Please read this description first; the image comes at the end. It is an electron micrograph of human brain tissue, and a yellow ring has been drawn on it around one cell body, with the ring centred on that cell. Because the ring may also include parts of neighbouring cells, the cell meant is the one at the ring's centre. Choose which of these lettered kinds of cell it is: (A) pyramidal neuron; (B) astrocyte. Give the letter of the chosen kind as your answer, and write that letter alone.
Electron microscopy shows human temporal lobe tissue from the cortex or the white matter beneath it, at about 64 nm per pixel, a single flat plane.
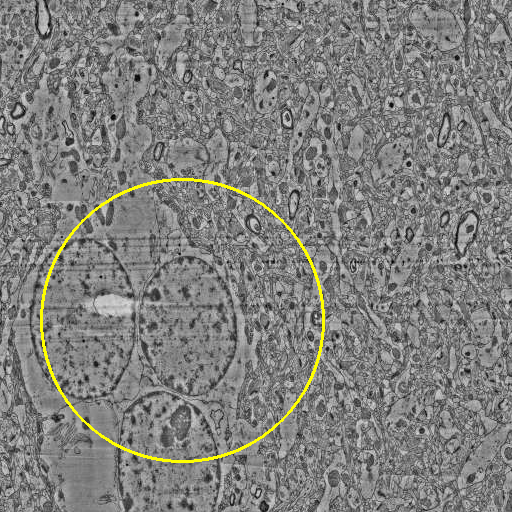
B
